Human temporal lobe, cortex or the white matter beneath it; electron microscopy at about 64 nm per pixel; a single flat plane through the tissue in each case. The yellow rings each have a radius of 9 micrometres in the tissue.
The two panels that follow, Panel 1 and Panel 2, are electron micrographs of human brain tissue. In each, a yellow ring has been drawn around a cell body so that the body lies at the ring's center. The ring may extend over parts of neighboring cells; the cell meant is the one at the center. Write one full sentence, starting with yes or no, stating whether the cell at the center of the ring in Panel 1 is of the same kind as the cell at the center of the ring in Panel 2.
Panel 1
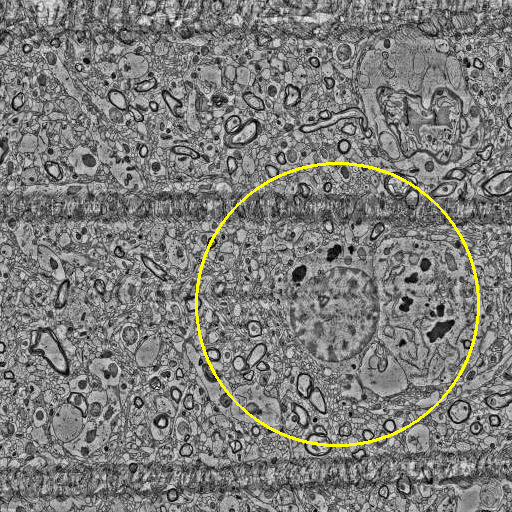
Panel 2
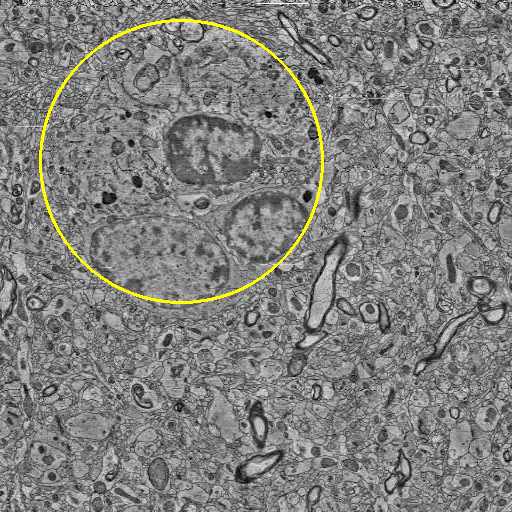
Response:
No, the cells in the two panels are of two kinds.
